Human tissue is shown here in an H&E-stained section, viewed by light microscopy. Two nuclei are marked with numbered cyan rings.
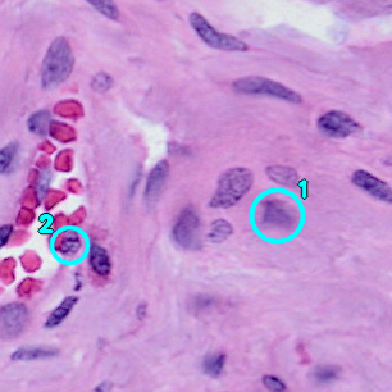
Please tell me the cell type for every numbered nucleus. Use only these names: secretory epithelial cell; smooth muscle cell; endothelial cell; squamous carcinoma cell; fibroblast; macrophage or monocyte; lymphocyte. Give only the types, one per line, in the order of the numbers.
fibroblast
endothelial cell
